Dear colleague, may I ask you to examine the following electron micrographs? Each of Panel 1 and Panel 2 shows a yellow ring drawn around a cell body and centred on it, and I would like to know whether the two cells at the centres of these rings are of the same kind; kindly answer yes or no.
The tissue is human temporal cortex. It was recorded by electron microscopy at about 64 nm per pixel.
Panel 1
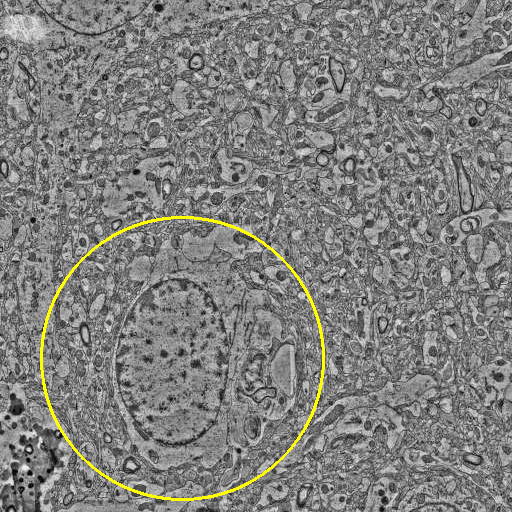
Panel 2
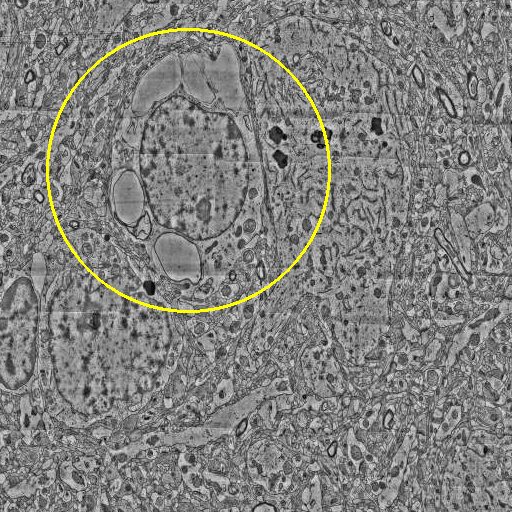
yes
